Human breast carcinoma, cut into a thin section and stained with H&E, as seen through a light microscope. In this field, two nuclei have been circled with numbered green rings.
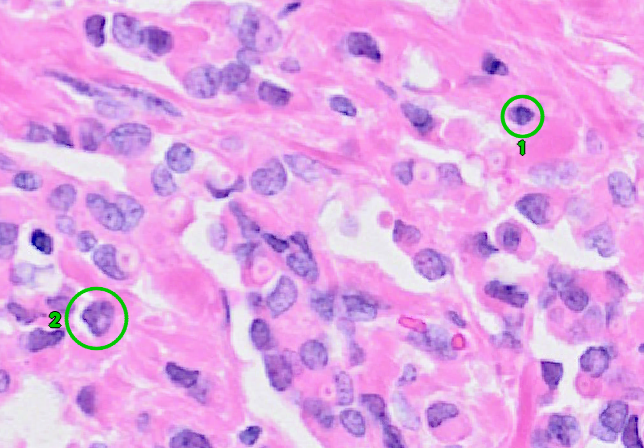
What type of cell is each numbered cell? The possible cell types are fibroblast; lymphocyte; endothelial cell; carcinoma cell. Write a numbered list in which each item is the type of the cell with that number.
1. lymphocyte
2. carcinoma cell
